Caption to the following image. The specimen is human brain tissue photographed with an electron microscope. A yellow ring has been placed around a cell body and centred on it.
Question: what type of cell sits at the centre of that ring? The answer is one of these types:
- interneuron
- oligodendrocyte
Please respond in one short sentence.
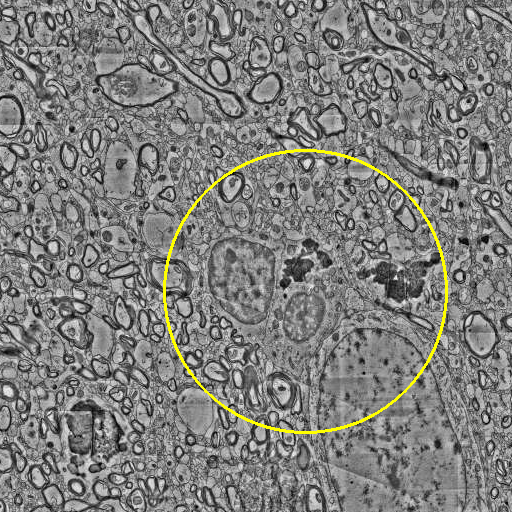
The ring surrounds the cell body of an oligodendrocyte.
